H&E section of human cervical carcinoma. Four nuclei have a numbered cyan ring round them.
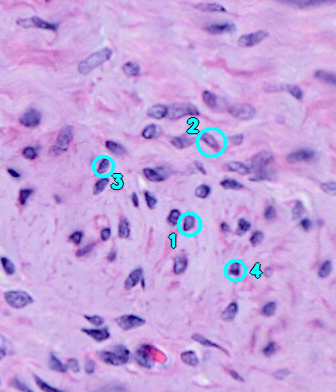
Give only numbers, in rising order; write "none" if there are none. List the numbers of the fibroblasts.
3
